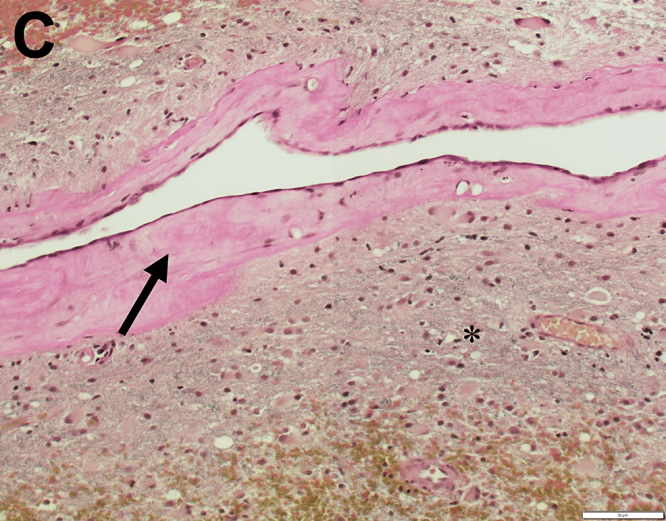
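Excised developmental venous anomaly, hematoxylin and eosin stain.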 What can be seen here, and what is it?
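This section shows a vessel with a markedly hyalinized wall running through brain tissue. The wall is thick, homogeneous and glassy pink, with very few nuclei in it, and surrounds a narrow, slit-like empty lumen lined by flattened nuclei. On either side lies neural parenchyma with a pale pink fibrillary background and scattered small dark nuclei.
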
